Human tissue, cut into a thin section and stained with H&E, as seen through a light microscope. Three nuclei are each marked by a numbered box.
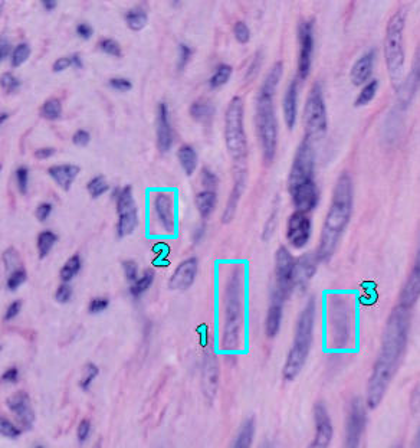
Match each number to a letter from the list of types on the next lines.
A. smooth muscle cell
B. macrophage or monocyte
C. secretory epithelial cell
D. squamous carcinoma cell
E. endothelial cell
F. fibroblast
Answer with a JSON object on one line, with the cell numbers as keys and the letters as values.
{"1": "A", "2": "F", "3": "A"}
